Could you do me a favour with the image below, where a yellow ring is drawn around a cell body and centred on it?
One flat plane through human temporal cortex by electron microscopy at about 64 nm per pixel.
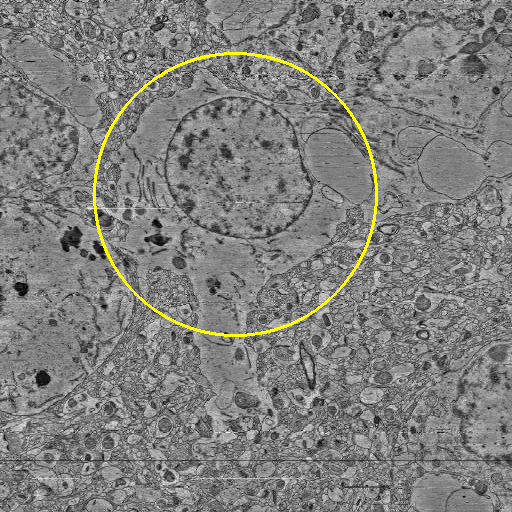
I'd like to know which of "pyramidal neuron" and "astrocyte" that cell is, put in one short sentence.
The cell at the ring's centre is an astrocyte.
